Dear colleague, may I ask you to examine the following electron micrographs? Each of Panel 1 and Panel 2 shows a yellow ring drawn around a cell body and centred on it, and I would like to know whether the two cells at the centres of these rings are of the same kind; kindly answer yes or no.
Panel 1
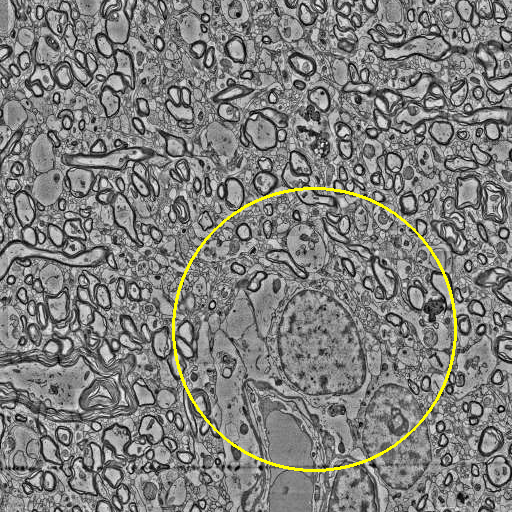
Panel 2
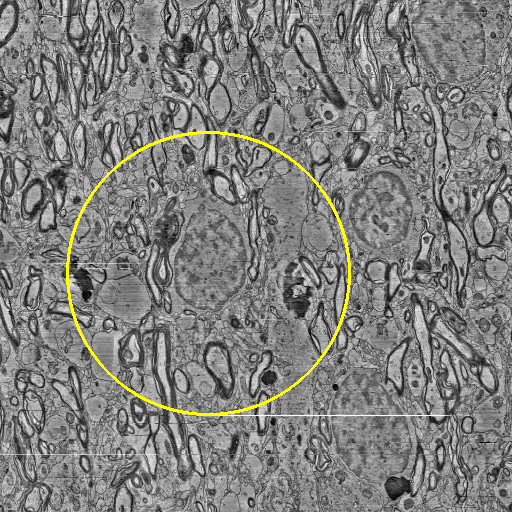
no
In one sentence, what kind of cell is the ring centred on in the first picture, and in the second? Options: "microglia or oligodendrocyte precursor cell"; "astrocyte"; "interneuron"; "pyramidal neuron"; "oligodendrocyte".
The cell at the centre of the second ring is an oligodendrocyte; the first ring's cell is a microglial cell or oligodendrocyte precursor cell.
